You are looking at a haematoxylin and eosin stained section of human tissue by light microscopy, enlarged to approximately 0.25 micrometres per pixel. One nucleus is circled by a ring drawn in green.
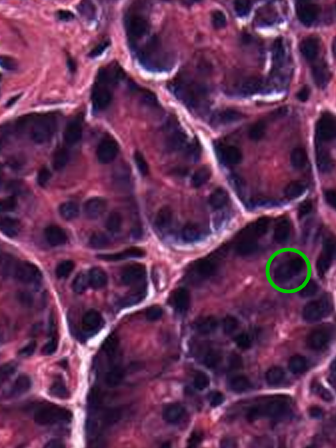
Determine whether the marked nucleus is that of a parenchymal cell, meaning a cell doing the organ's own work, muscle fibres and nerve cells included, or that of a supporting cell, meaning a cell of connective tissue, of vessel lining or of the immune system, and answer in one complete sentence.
The parenchymal cell that owns the marked nucleus is a pancreatic acinar cell.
